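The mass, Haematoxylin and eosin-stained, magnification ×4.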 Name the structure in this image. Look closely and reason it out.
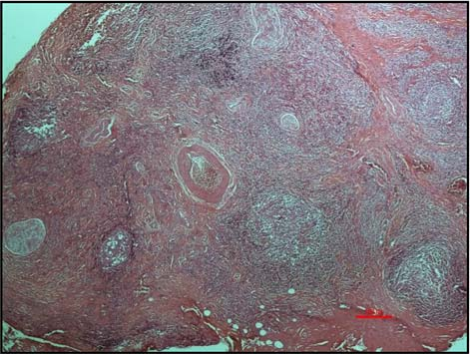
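Several rounded nodules with paler centres and darker purple rims are scattered through the section. The nodules are made of densely packed small cells. That points to this answer: reactive lymphoid follicles.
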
